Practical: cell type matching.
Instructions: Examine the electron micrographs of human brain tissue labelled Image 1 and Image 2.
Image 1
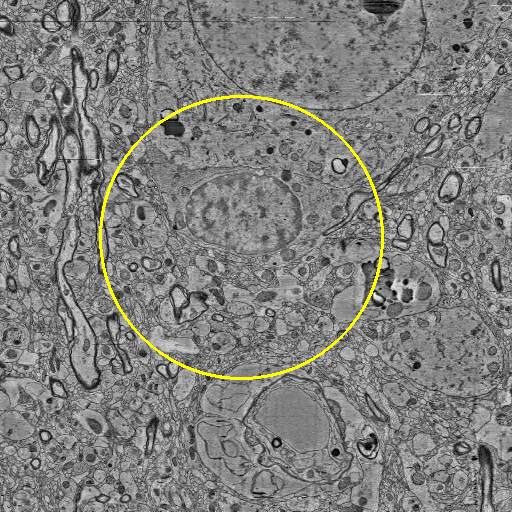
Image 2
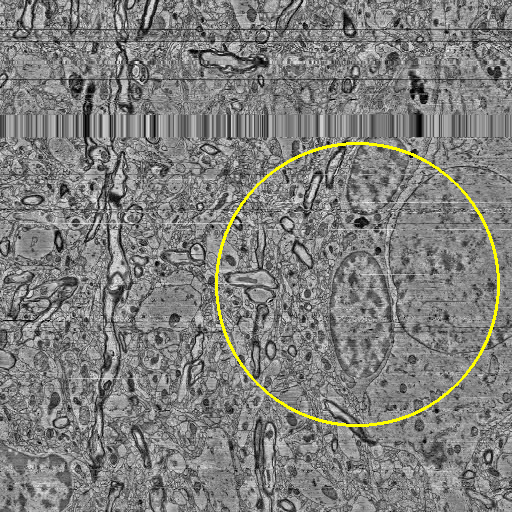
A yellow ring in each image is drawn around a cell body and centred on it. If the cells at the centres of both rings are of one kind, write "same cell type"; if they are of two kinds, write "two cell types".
same cell type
